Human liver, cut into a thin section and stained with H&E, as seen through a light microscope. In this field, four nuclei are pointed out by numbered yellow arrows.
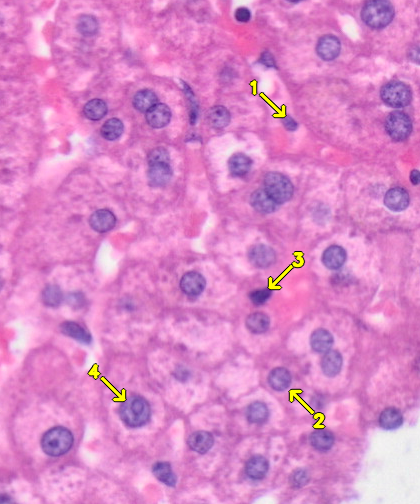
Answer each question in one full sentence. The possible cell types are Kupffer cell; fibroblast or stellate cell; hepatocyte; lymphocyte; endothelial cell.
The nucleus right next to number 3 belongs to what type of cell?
The cell nearest to number 3 is a hepatocyte.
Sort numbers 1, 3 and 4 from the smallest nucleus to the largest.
The order from the smallest nucleus to the largest is 1, 3, 4.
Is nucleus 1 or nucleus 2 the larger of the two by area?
Of the two, number 2 is bigger and takes up about 2 times the area of number 1.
